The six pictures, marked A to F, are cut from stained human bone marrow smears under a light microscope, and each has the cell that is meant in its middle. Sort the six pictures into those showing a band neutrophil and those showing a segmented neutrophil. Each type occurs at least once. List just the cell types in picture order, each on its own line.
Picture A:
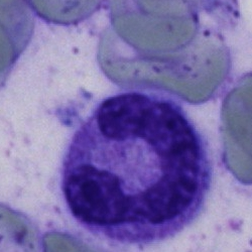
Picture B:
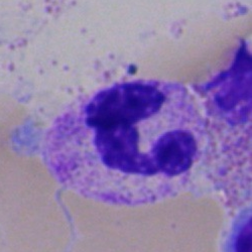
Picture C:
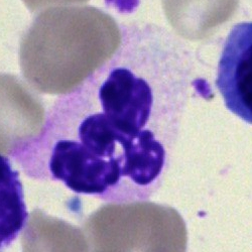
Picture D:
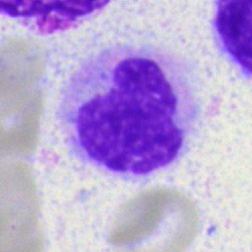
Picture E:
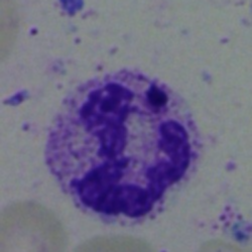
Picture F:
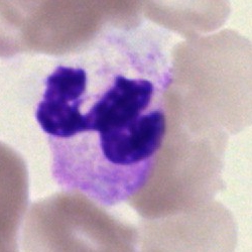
band neutrophil
segmented neutrophil
segmented neutrophil
band neutrophil
segmented neutrophil
segmented neutrophil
